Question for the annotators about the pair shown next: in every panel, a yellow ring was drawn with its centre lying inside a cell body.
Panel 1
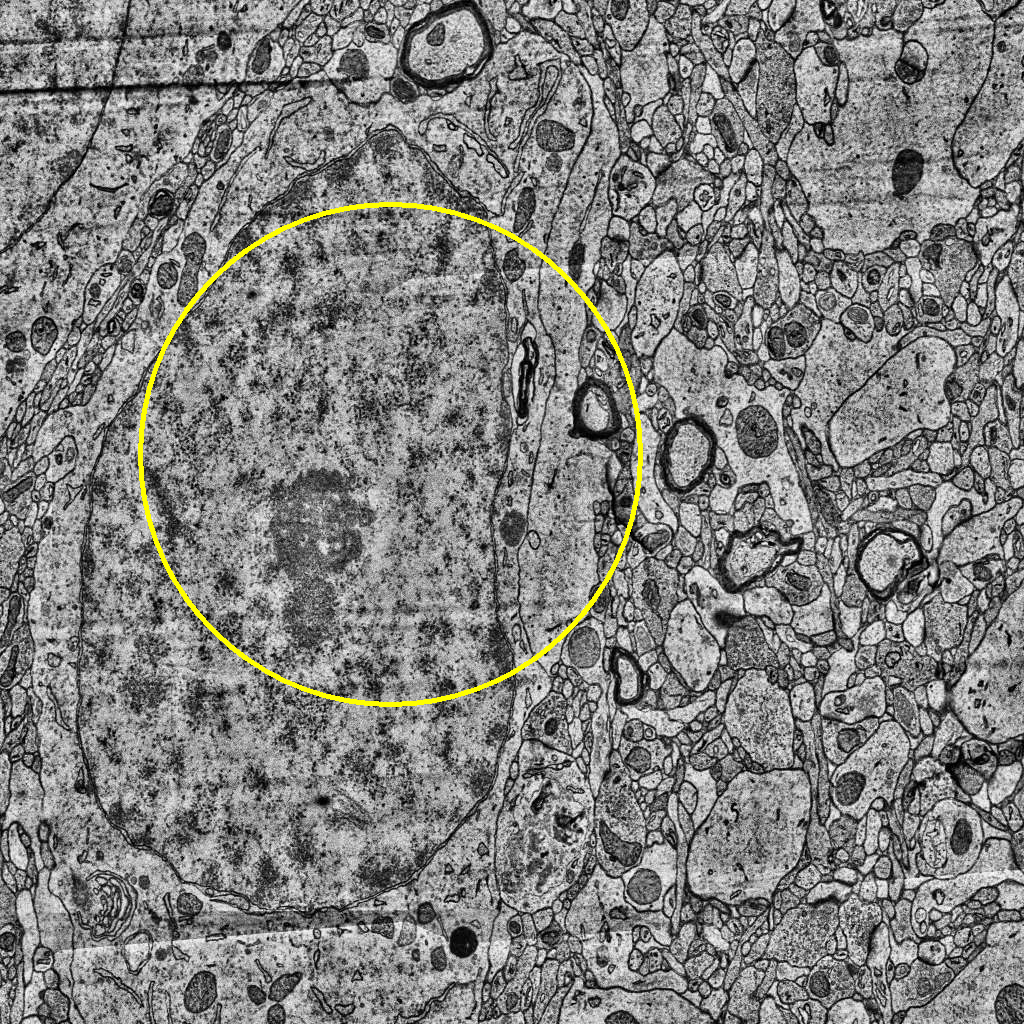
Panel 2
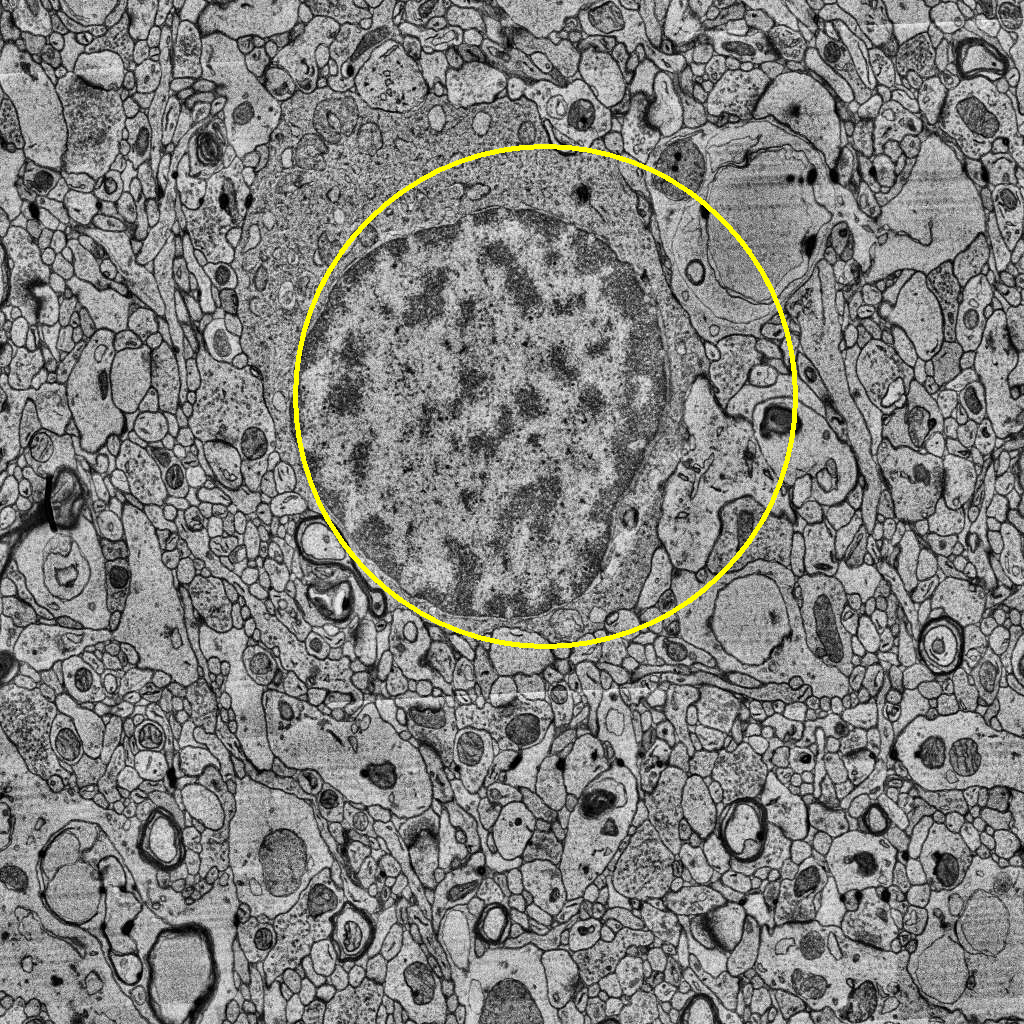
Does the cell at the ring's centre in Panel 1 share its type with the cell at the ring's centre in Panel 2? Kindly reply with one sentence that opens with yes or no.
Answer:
No, in Panels 1 and 2 the cells at the ring centres belong to separate types.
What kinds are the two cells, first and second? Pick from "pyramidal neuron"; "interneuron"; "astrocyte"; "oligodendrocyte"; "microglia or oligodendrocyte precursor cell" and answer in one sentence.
The ring of the first picture is on an interneuron, the ring of the second on an oligodendrocyte.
